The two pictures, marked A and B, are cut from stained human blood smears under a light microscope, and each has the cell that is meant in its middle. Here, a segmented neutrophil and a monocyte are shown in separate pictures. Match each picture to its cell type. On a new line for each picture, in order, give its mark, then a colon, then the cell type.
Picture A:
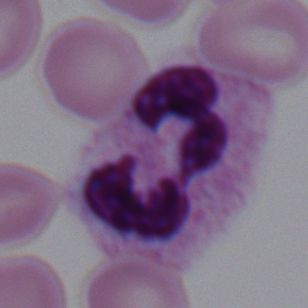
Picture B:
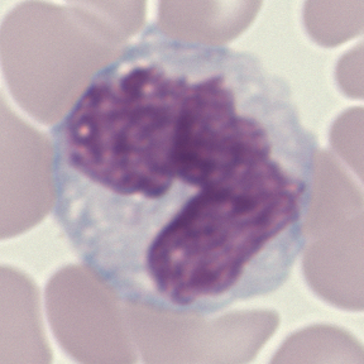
A: segmented neutrophil
B: monocyte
